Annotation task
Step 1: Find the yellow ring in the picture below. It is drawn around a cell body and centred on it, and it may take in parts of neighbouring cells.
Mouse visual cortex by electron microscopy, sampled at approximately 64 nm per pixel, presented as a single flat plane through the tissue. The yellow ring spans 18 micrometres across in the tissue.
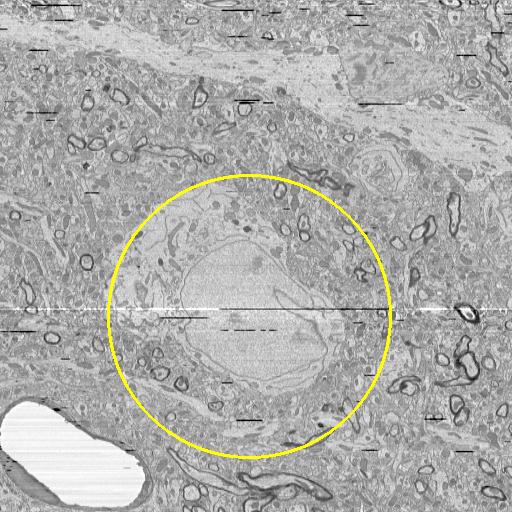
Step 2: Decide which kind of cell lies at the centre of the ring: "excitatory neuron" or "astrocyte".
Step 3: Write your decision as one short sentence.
The kind of cell at the ring's centre is an excitatory neuron.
